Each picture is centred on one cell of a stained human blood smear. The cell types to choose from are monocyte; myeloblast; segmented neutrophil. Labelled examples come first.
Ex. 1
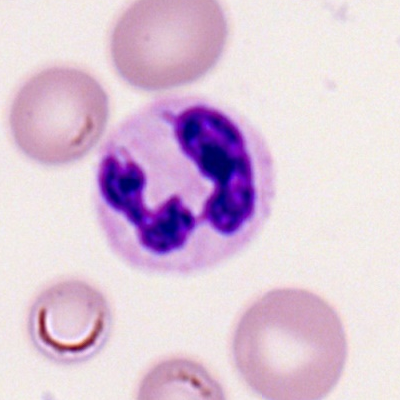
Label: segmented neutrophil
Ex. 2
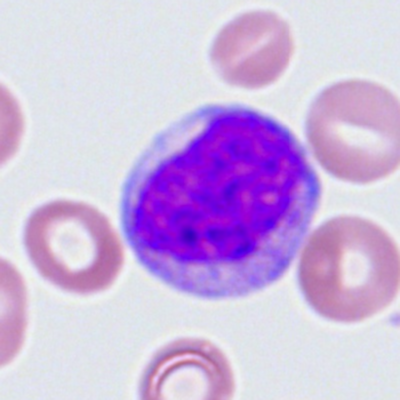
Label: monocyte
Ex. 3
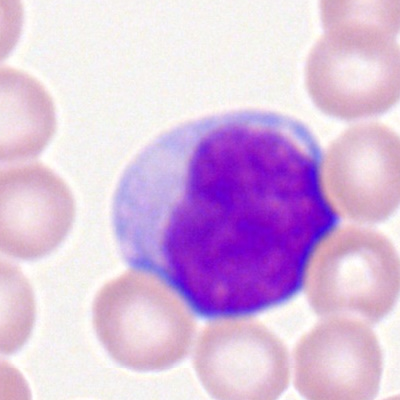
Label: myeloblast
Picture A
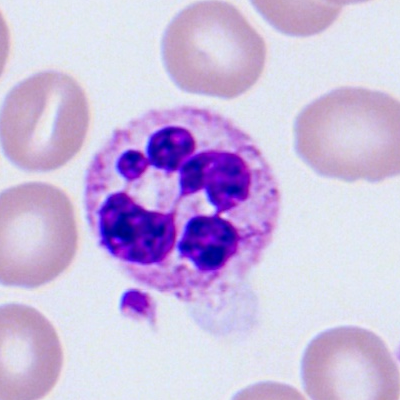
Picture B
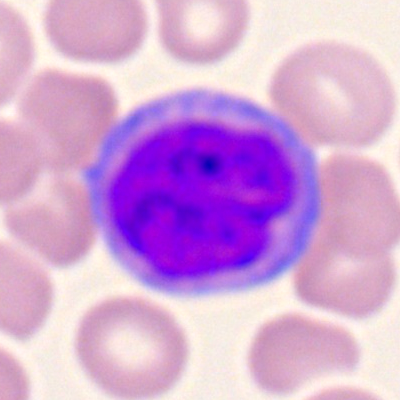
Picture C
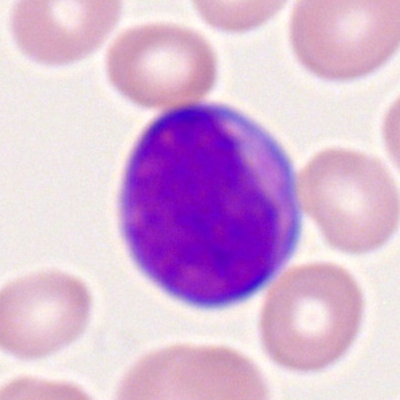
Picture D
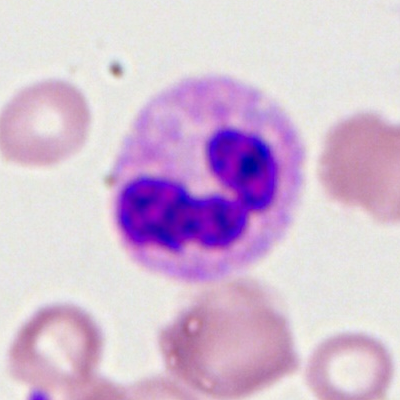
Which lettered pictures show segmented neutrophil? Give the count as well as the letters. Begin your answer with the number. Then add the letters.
2, namely A, D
